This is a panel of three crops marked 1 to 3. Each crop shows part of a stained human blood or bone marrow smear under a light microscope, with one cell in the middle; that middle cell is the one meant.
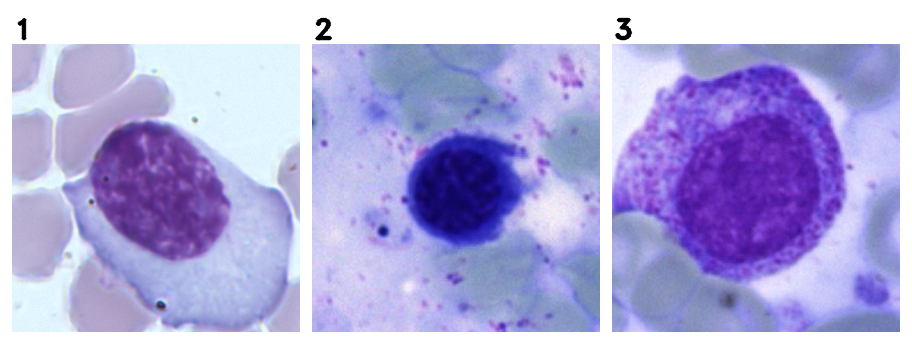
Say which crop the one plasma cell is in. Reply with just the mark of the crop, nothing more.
1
